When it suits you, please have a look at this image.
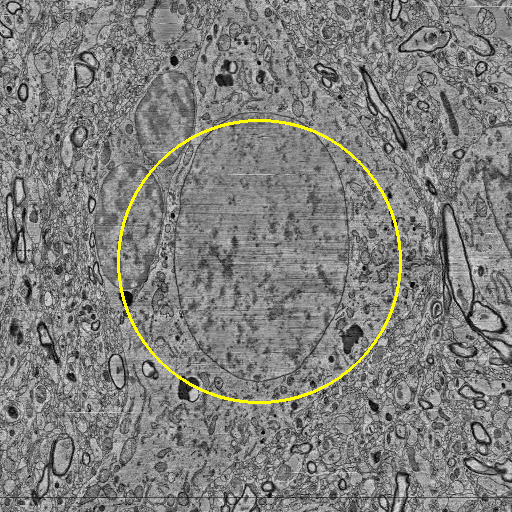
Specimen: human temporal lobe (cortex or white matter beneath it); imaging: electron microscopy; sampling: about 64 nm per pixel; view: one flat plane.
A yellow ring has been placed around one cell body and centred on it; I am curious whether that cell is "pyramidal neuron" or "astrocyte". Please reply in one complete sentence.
The ringed cell, a pyramidal neuron, has its body at the centre of the yellow ring.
